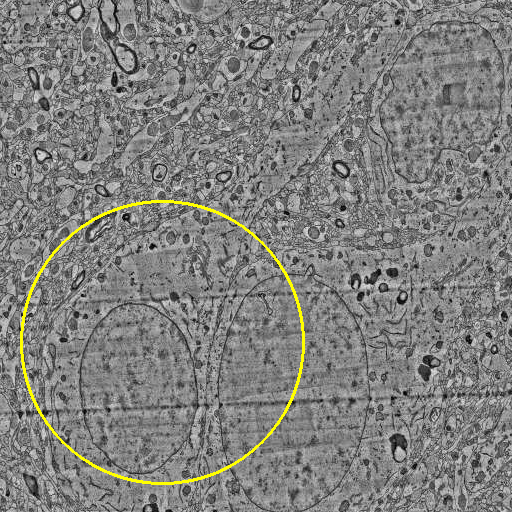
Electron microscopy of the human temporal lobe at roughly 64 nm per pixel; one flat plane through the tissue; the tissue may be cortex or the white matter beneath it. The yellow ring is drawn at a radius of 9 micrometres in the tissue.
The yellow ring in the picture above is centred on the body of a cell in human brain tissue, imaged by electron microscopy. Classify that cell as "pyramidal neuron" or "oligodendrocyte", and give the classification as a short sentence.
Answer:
The cell in the middle of the ring is a pyramidal neuron.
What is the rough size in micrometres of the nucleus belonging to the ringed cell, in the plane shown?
In this plane, the nucleus is roughly 11 by 8 micrometres.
